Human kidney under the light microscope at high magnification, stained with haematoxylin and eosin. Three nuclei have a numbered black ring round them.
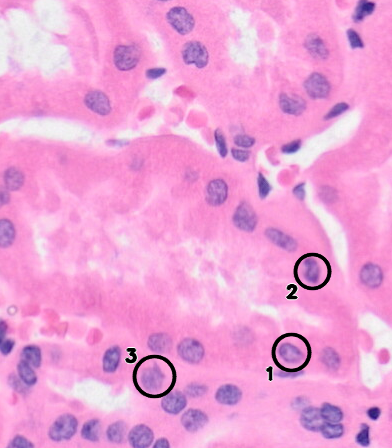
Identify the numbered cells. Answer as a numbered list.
1. proximal tubule cell
2. proximal tubule cell
3. collecting duct cell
